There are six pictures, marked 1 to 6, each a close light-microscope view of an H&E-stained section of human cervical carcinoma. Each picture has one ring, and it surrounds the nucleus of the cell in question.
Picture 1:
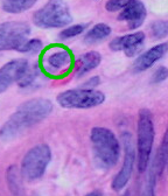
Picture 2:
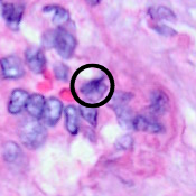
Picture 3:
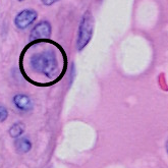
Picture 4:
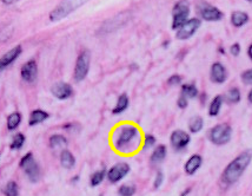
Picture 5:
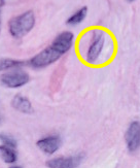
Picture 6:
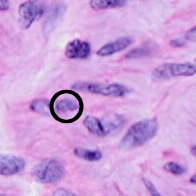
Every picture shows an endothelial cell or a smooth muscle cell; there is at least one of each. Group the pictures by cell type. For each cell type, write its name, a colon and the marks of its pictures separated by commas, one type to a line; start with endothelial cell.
endothelial cell: 1, 2
smooth muscle cell: 3, 4, 5, 6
